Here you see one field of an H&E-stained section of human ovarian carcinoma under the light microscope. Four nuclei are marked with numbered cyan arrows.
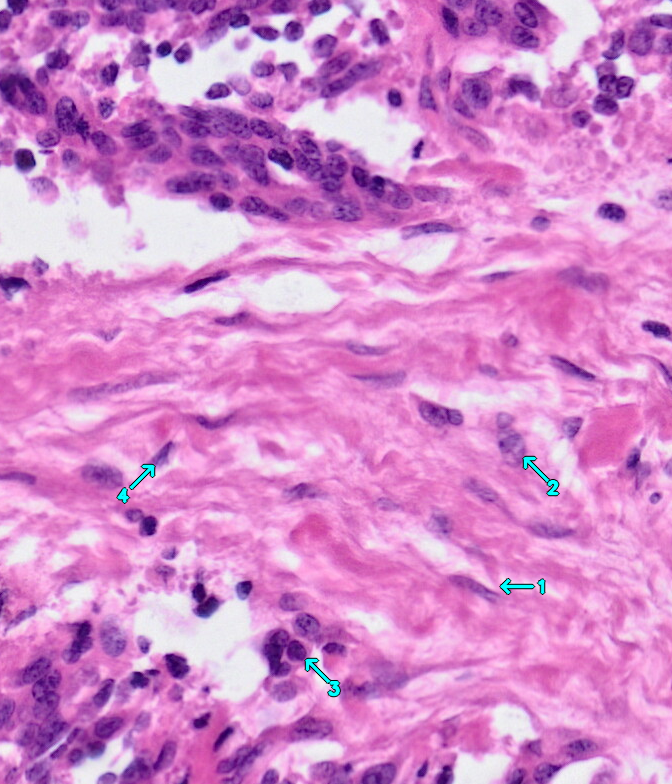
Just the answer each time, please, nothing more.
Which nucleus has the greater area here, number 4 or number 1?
1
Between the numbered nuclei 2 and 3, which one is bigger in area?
2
